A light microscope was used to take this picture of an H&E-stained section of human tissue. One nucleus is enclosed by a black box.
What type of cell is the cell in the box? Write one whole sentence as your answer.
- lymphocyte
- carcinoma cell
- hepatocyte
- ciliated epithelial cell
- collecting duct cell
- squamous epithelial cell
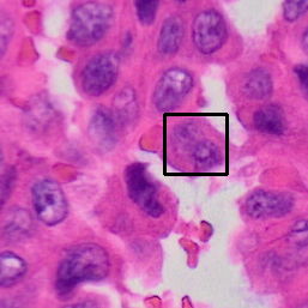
The cell in the box appears to be a carcinoma cell.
